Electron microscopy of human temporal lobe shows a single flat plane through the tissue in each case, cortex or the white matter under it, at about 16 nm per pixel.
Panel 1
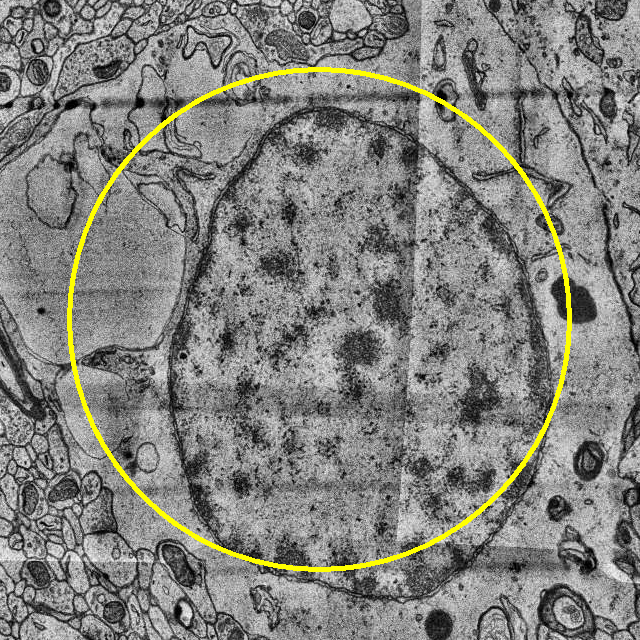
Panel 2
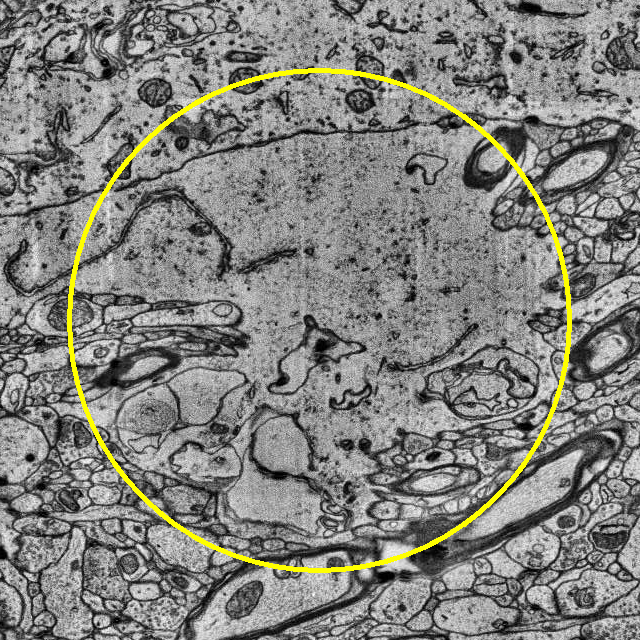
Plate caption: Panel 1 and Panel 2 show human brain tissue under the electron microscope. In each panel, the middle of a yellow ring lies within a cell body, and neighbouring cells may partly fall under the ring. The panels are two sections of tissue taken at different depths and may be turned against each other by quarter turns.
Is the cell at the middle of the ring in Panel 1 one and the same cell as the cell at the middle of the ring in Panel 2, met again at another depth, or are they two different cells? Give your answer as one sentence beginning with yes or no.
Yes, the two marked outlines come from one and the same cell.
